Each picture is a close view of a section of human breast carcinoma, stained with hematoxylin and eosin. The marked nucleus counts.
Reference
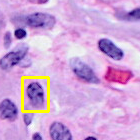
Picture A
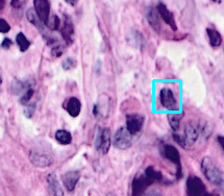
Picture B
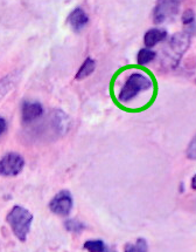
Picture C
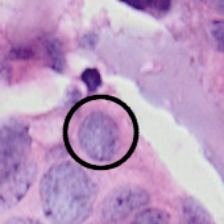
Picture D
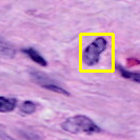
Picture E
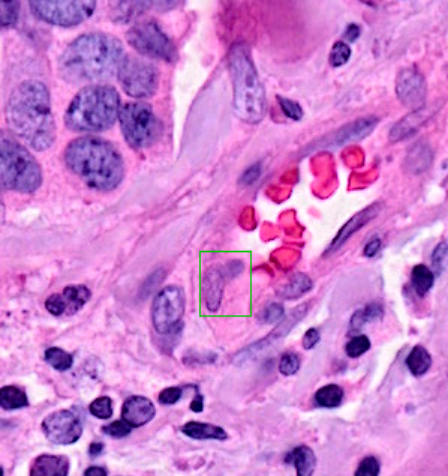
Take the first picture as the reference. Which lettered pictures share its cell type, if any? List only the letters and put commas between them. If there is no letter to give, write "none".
D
